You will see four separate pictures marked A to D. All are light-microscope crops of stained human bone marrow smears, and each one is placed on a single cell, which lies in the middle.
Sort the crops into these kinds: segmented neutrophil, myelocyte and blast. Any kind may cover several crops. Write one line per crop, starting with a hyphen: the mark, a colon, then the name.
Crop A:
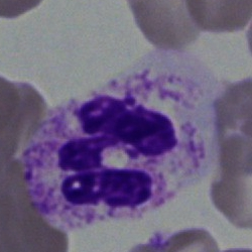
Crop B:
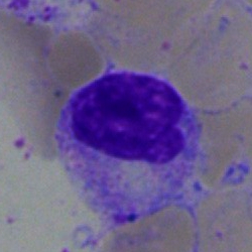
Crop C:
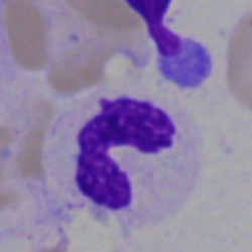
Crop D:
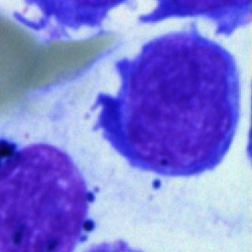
- A: segmented neutrophil
- B: myelocyte
- C: segmented neutrophil
- D: blast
